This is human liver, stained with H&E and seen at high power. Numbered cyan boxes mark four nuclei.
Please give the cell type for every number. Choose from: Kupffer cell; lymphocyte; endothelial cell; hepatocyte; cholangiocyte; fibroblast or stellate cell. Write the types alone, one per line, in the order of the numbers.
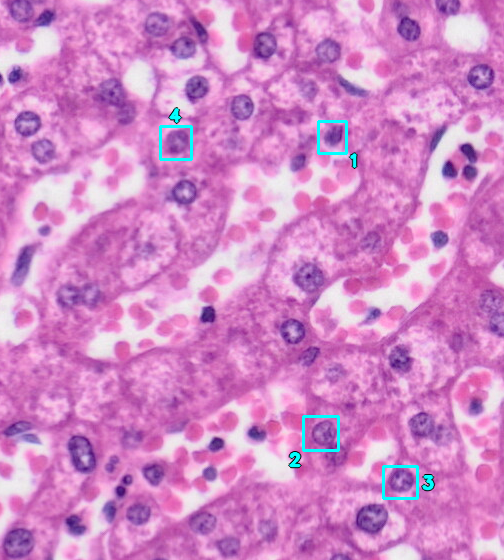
fibroblast or stellate cell
hepatocyte
hepatocyte
hepatocyte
